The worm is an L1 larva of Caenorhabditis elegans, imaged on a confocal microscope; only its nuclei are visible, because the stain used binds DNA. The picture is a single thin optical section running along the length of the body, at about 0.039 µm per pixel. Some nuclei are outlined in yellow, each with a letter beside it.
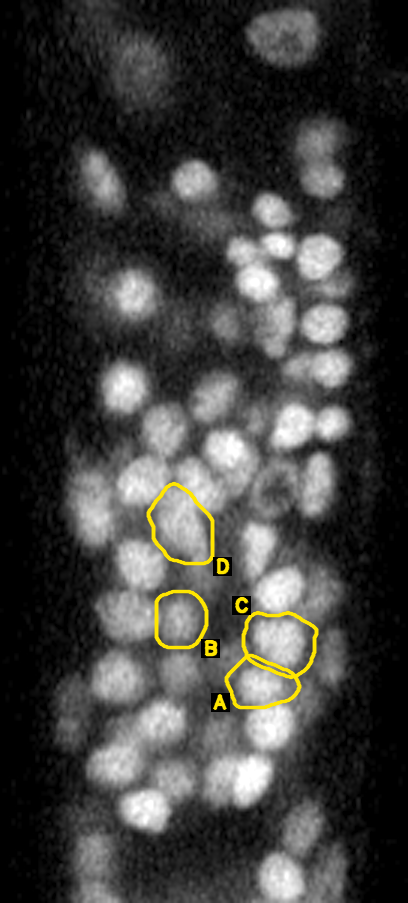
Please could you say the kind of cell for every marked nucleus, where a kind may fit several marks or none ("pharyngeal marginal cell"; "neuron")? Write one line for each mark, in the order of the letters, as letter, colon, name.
A: neuron
B: neuron
C: neuron
D: pharyngeal marginal cell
